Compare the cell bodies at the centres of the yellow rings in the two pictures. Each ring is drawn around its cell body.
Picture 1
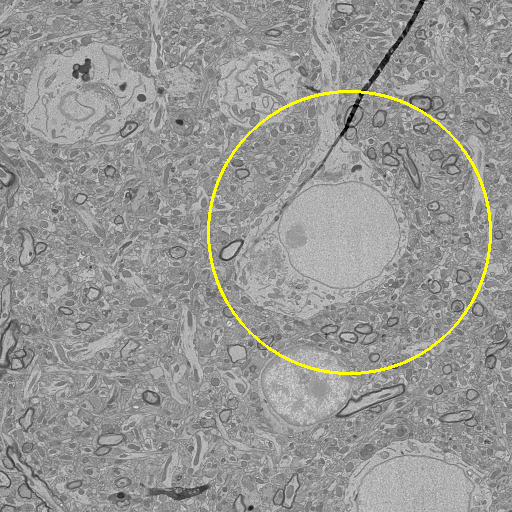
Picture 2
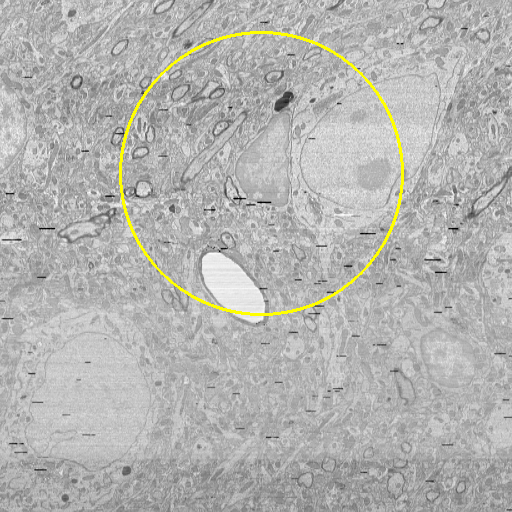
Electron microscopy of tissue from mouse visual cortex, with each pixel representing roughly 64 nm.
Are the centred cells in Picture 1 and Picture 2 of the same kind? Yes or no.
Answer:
no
